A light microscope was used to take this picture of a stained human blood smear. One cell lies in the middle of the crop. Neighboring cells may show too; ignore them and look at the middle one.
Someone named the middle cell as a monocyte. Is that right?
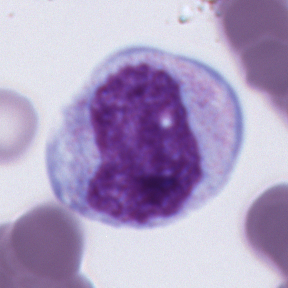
no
